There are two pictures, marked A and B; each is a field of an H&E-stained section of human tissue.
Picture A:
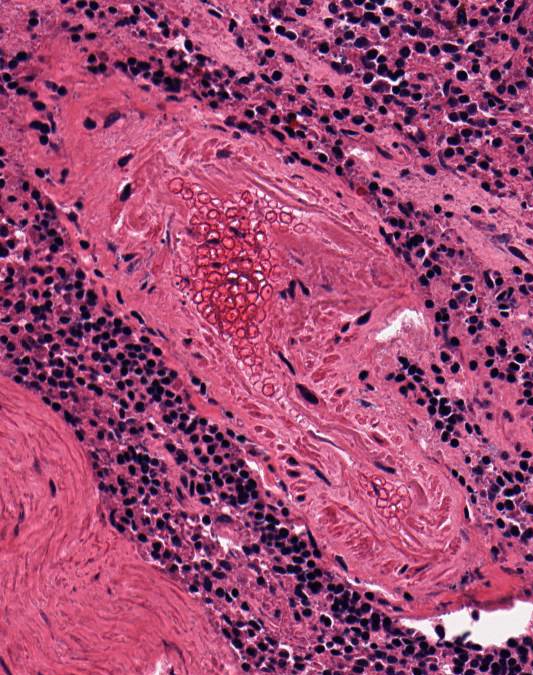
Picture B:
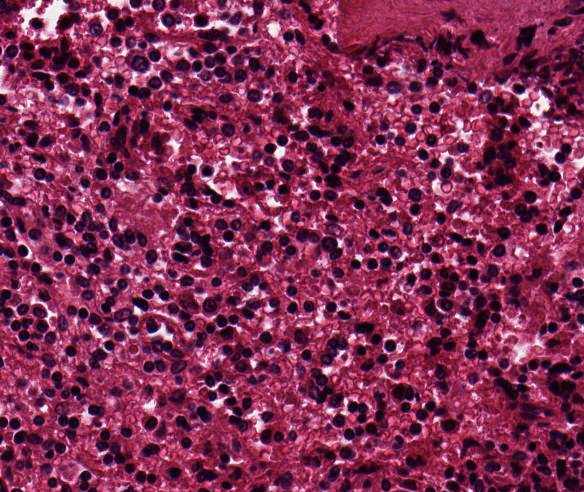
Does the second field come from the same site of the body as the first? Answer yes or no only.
yes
